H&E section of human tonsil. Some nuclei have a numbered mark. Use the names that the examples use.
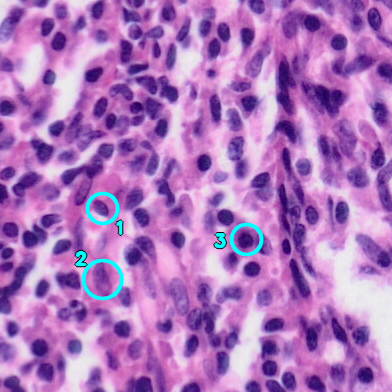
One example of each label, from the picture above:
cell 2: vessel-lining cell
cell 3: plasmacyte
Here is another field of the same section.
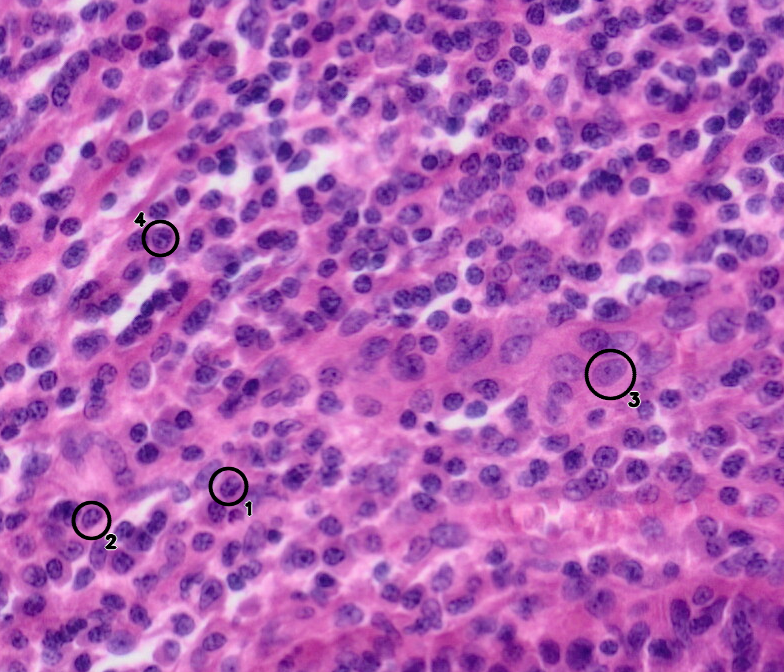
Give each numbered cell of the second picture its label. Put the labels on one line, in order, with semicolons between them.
plasmacyte; plasmacyte; vessel-lining cell; plasmacyte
